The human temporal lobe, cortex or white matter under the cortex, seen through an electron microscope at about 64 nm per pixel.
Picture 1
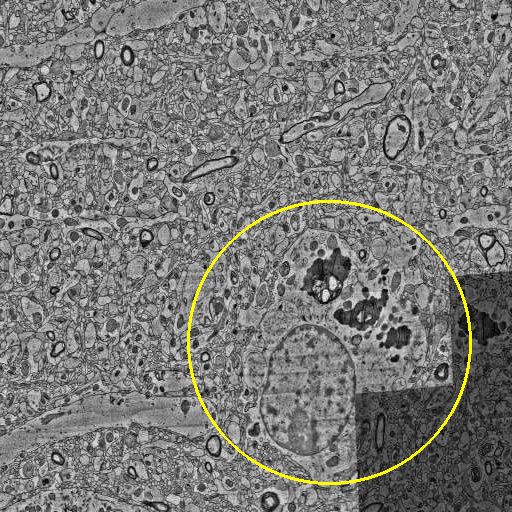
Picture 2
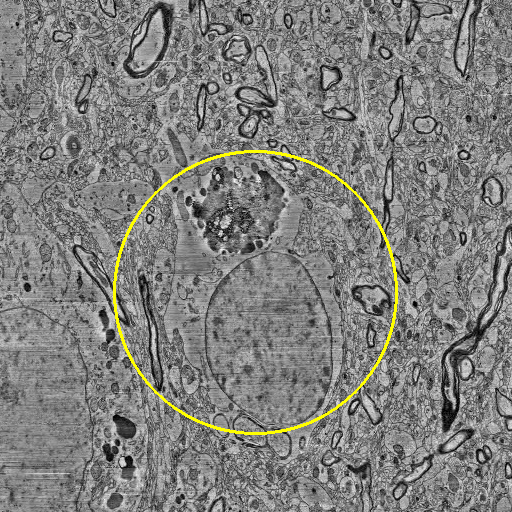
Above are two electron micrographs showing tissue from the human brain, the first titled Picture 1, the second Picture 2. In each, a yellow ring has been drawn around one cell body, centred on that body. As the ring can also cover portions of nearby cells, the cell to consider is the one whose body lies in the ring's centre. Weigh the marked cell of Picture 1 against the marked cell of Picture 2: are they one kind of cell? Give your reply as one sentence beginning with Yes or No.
Yes, the two cells sitting at the ring centres in the pictures are of one kind.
